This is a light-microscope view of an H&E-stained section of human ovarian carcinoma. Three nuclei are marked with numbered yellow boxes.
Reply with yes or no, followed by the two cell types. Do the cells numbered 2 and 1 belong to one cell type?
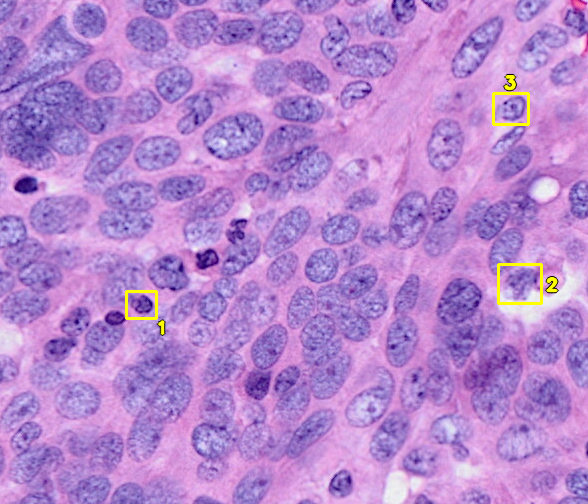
No, the cell labelled 2 is a macrophage or monocyte; the cell labelled 1 is a lymphocyte.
